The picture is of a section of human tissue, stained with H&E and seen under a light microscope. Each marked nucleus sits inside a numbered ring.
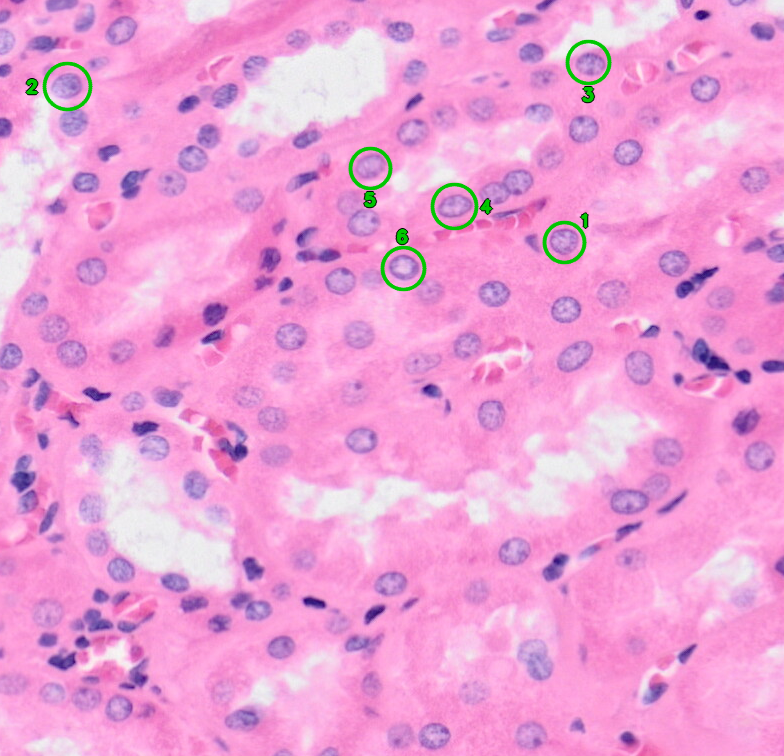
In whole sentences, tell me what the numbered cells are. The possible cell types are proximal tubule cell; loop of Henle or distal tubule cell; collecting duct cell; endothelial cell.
Cells 1, 4, 5 and 6 are proximal tubule cells. Cells 2 and 3 are loop of Henle or distal tubule cells.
